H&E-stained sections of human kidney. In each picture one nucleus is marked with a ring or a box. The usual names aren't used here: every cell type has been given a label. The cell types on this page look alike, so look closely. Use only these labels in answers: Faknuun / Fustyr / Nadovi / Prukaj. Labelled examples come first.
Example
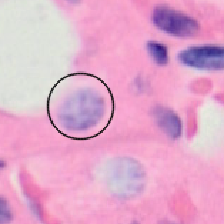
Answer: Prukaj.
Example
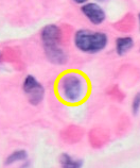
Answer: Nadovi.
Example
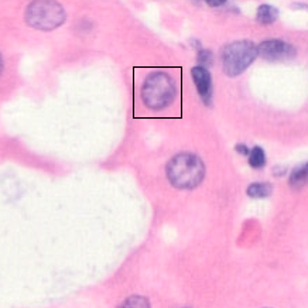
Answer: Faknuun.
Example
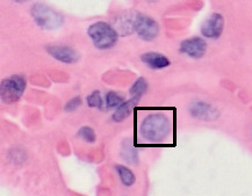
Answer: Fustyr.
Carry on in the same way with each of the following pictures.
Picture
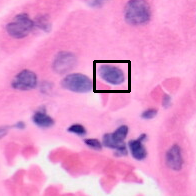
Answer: Nadovi.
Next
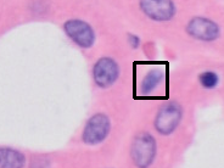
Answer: Nadovi.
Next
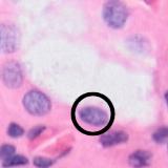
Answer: Prukaj.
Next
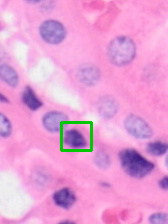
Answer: Fustyr.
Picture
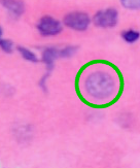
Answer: Faknuun.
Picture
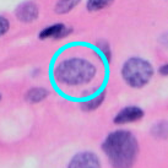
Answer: Fustyr.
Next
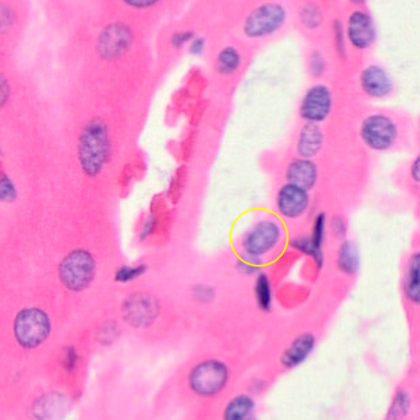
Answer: Fustyr.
